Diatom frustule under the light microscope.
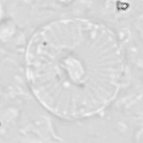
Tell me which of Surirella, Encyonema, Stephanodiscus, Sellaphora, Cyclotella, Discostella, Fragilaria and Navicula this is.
The picture shows Stephanodiscus.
